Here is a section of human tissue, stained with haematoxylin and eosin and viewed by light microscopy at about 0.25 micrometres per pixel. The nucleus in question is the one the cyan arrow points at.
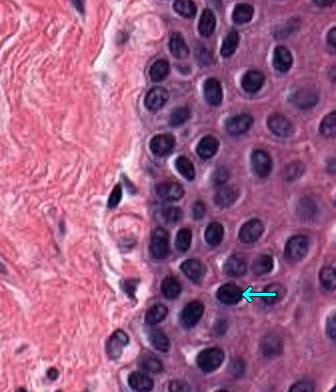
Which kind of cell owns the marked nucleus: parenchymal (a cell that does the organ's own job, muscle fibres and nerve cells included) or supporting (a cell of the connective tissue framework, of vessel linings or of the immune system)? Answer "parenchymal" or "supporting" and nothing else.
parenchymal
